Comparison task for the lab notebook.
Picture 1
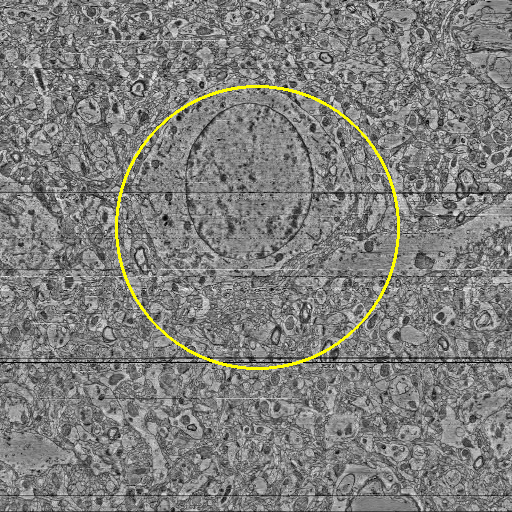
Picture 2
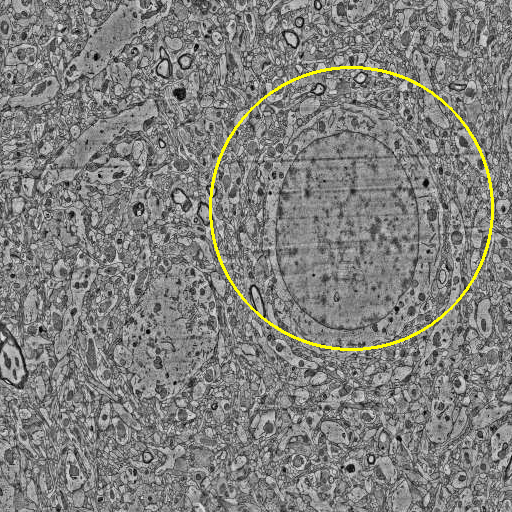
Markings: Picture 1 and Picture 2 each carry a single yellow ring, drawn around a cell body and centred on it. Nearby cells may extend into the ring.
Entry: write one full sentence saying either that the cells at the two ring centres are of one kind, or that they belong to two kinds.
The cells sitting at the ring centres in Picture 1 and Picture 2 are of one kind.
